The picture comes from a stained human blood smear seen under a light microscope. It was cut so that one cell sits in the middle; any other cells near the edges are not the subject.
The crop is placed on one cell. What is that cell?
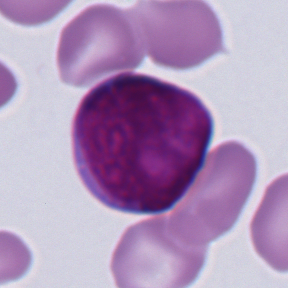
myeloblast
